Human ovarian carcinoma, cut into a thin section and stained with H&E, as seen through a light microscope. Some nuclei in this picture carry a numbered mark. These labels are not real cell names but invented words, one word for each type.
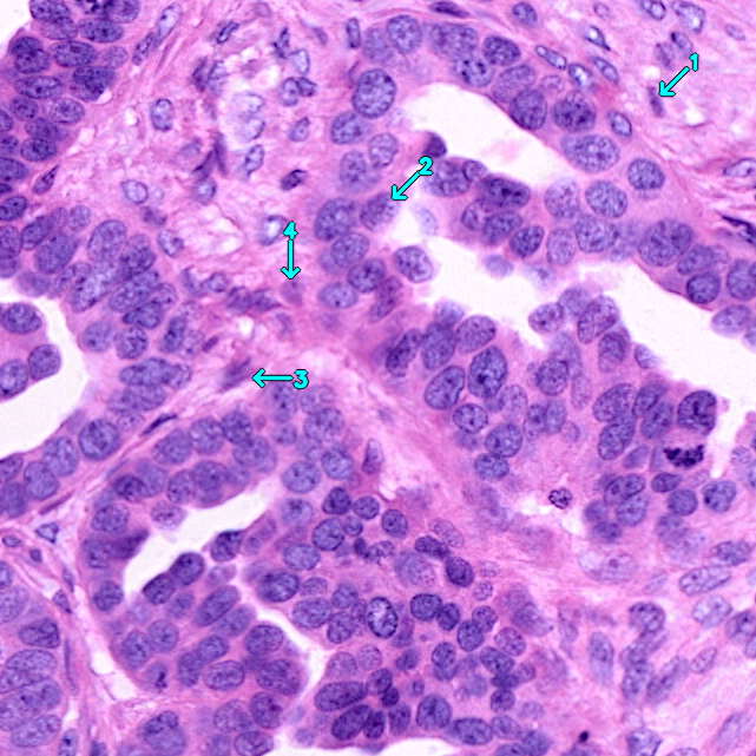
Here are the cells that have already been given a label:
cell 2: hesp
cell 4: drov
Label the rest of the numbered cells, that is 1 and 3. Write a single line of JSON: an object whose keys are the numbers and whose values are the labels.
{"1": "drov", "3": "drov"}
